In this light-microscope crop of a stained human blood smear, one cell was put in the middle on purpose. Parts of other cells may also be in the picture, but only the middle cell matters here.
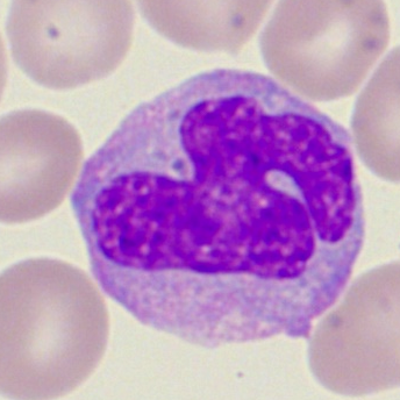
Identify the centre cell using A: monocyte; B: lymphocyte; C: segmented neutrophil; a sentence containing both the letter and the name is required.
Option A is correct; the cell in the middle is a monocyte.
